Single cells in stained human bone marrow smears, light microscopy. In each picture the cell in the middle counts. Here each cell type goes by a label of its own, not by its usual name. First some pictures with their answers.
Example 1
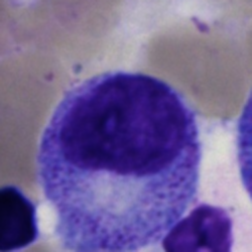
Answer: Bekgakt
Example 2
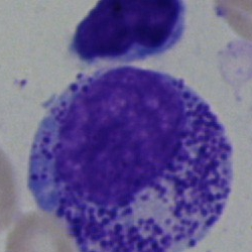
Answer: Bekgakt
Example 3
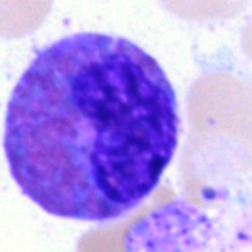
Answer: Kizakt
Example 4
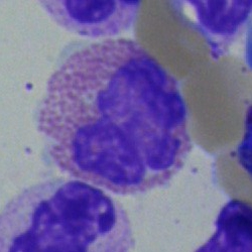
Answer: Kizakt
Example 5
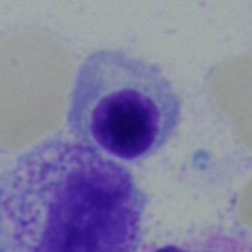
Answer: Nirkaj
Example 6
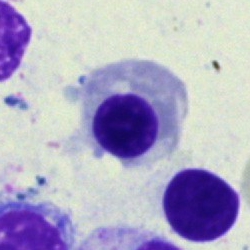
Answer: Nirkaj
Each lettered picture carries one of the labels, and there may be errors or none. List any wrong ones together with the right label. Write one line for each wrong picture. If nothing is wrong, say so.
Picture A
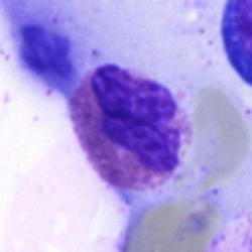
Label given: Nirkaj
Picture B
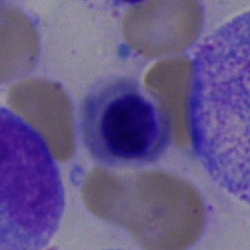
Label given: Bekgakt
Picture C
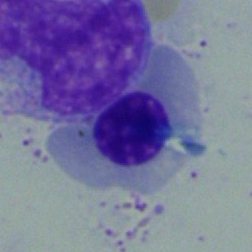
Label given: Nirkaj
A should be Kizakt, not Nirkaj
B should be Nirkaj, not Bekgakt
